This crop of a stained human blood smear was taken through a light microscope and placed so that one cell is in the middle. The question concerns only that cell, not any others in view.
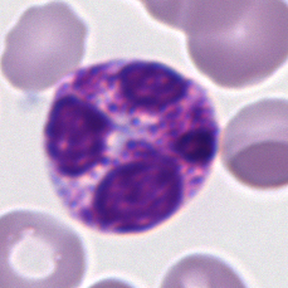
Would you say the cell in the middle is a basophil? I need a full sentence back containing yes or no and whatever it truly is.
Yes, the cell of interest in the middle is a basophil.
